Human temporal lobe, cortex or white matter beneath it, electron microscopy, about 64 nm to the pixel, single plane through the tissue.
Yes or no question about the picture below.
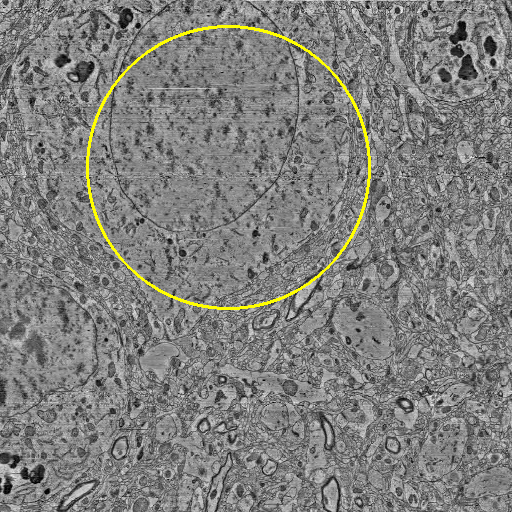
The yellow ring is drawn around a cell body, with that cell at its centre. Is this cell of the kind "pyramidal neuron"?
yes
